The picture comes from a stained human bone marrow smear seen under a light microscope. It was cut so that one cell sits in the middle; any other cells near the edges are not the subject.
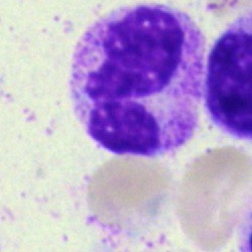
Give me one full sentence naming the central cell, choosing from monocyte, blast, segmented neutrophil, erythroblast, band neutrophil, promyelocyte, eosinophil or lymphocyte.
This particular crop is centered on a segmented neutrophil.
